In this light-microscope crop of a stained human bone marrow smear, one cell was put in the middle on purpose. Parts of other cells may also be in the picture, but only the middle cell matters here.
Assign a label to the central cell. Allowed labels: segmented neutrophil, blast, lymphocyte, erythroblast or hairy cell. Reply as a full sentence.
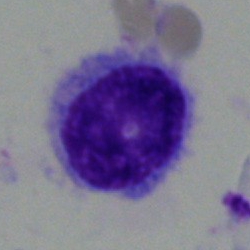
In the center of this field lies a hairy cell.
